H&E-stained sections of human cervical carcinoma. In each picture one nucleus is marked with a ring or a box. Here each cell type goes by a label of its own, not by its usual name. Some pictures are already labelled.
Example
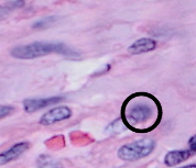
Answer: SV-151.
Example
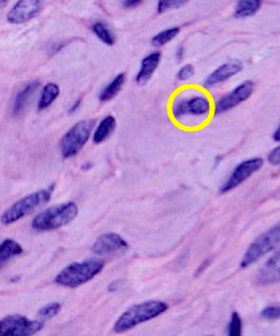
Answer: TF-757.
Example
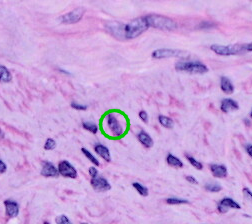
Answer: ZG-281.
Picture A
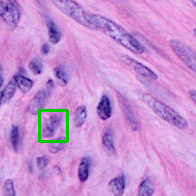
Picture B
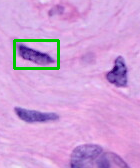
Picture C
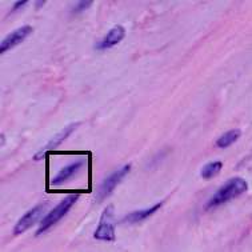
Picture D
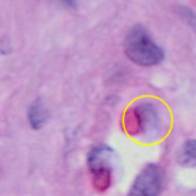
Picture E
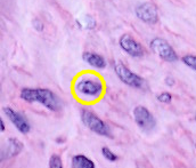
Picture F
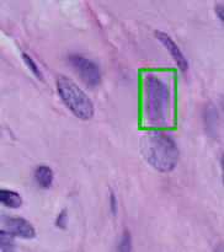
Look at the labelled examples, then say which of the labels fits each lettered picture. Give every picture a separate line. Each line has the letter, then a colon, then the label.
A: ZG-281.
B: TF-757.
C: TF-757.
D: SV-151.
E: ZG-281.
F: TF-757.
